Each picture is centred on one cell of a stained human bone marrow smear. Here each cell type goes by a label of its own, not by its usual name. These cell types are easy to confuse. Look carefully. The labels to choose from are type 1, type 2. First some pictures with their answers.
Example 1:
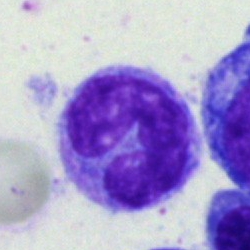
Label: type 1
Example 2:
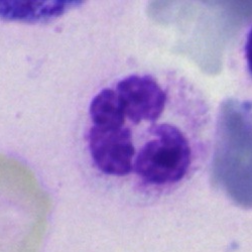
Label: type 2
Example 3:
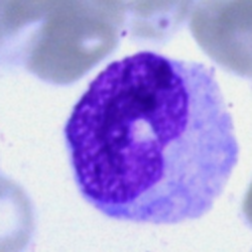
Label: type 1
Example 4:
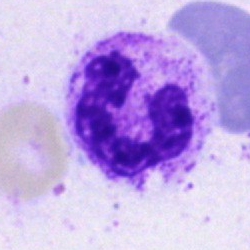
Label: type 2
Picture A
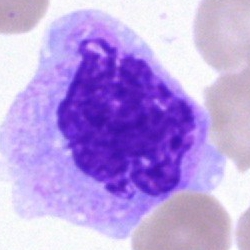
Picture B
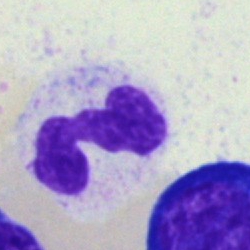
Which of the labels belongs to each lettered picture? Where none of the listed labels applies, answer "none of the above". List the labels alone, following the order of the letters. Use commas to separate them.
type 1, type 2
